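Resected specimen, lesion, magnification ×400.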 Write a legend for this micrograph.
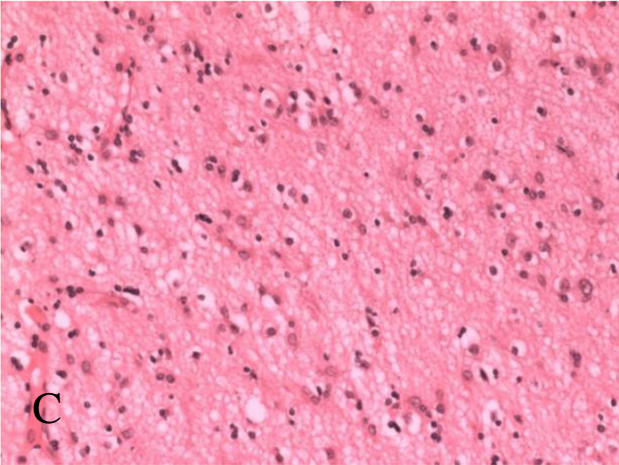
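The background is pale pink, finely fibrillary and full of small clear vacuoles. Through it are scattered many small cells whose round to oval dark nuclei are spread fairly evenly, some with a clear halo around them. A few larger cells show paler, more open nuclei. There is no foreign material and no dense inflammatory crowding here.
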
